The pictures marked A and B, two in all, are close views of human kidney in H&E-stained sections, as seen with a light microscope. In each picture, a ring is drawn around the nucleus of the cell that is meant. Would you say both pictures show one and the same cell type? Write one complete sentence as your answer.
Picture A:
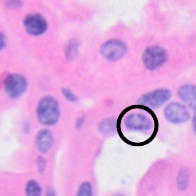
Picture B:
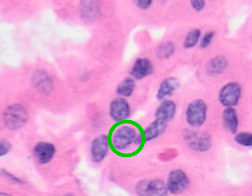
Yes, both cells are collecting duct cells.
